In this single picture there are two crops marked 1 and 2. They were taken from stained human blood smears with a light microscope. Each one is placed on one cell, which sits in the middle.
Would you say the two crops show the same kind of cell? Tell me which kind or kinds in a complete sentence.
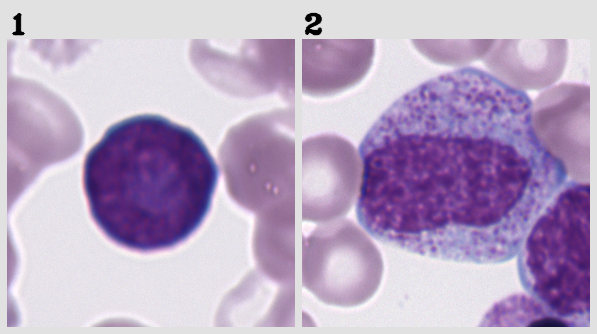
No, the labels go like this: crop 1 is a blast and crop 2 is a promyelocyte.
